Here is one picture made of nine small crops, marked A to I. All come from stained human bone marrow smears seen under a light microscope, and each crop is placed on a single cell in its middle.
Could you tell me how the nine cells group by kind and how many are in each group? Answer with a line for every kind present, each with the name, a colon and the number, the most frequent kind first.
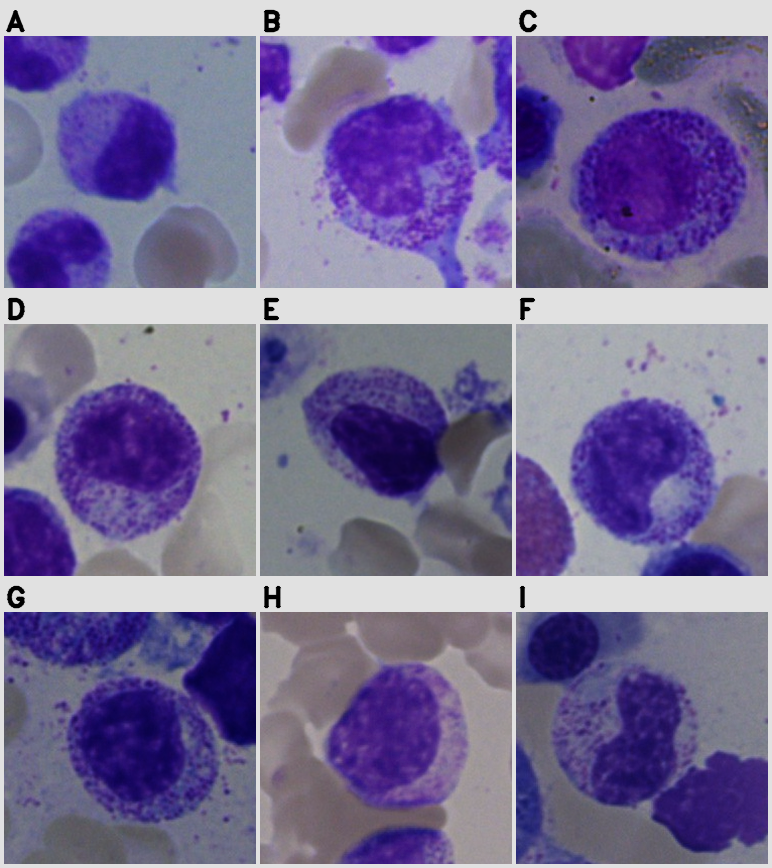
myelocyte: 5
metamyelocyte: 4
